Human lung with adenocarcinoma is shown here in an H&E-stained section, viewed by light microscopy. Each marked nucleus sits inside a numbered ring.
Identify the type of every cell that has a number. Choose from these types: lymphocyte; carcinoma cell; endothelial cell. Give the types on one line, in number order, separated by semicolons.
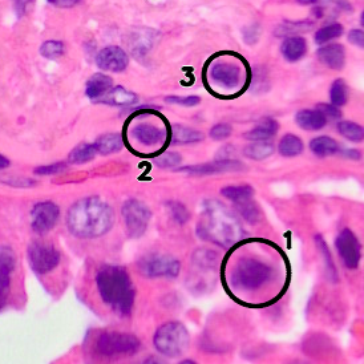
carcinoma cell; lymphocyte; lymphocyte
